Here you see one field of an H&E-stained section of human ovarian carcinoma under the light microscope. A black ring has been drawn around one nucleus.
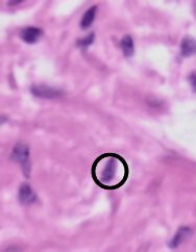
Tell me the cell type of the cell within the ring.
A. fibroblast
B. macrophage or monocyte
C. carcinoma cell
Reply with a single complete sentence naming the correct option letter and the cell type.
Among the choices, option A is correct, the cell within the ring being a fibroblast.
